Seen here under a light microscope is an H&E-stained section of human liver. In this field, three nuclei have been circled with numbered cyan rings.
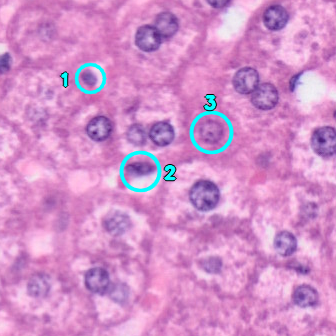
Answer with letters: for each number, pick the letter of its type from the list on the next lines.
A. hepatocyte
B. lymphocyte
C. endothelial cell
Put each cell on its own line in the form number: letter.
1: B
2: C
3: A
